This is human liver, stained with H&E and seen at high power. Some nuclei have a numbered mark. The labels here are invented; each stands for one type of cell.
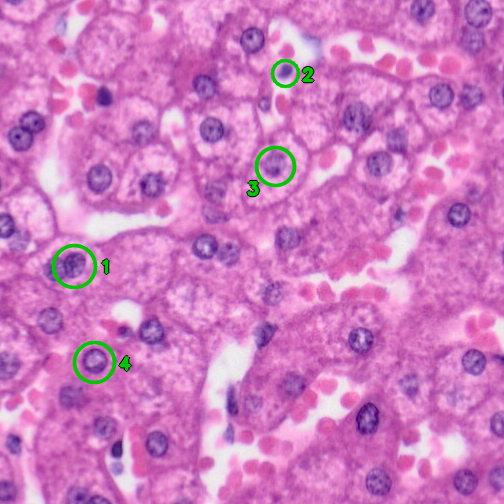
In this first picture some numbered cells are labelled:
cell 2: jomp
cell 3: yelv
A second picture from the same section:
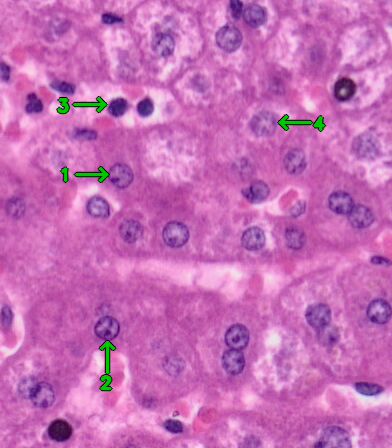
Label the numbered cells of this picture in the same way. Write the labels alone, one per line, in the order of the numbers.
yelv
yelv
jomp
yelv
